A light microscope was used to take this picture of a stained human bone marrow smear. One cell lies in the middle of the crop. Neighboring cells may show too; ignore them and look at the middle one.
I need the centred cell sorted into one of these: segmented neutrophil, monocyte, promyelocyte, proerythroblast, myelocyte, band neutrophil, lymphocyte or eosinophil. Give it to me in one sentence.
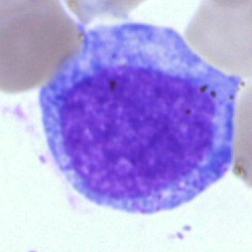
Looking at the middle of the crop, the cell there is a promyelocyte.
